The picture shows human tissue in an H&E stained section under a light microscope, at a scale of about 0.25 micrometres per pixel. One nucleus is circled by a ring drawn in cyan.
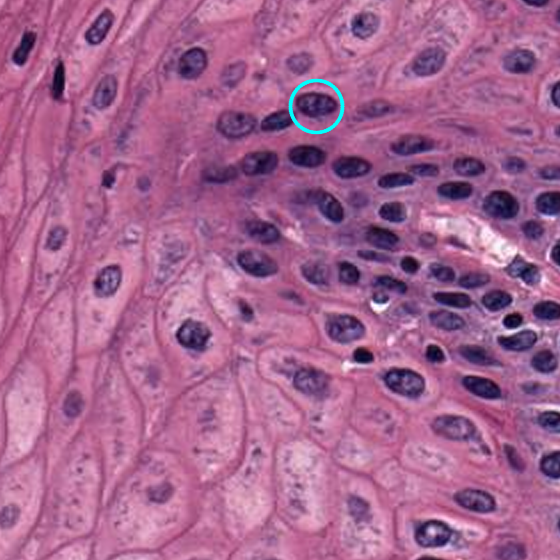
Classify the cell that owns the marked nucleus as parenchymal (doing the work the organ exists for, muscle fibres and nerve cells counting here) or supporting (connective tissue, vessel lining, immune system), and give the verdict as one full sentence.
In the section shown, the marked nucleus belongs to a parenchymal cell, namely a squamous epithelial cell.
